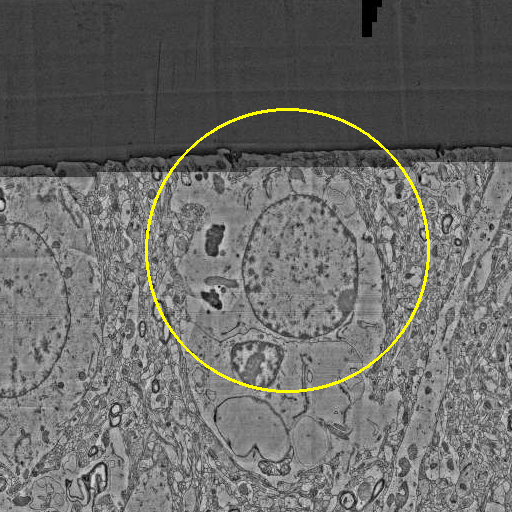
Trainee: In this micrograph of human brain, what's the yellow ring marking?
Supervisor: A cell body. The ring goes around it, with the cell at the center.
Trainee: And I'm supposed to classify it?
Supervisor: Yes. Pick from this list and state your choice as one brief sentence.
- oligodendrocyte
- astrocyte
The cell at the ring's center is an astrocyte.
